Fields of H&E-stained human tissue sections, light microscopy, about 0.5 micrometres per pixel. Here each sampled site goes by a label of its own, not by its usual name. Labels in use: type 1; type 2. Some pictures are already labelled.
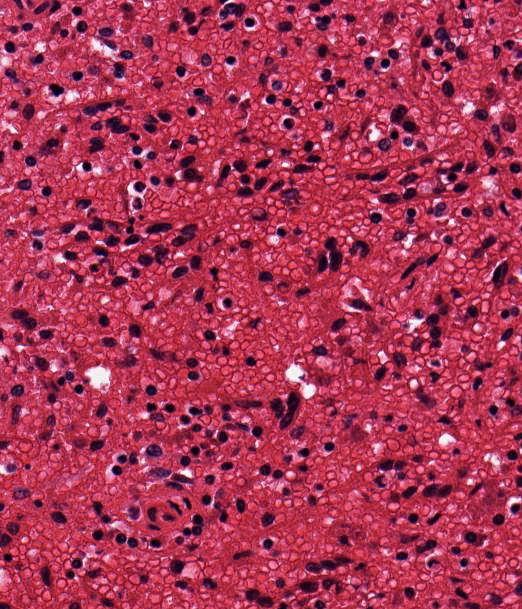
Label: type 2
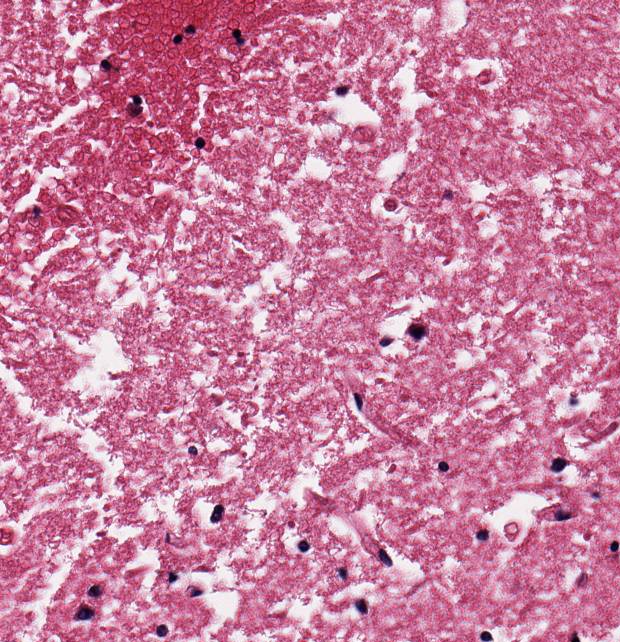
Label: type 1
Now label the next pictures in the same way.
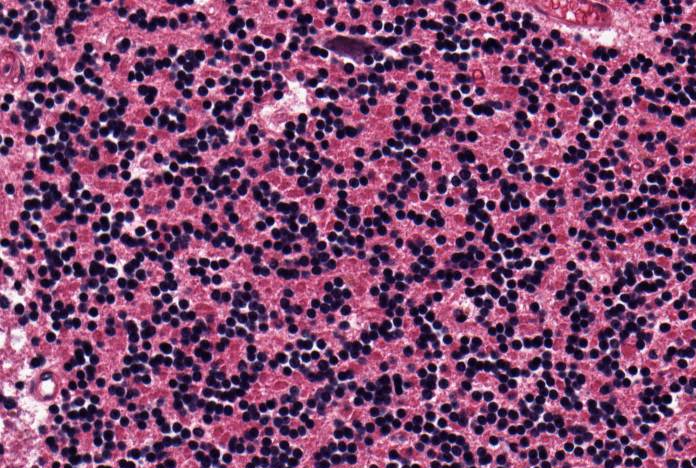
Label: type 1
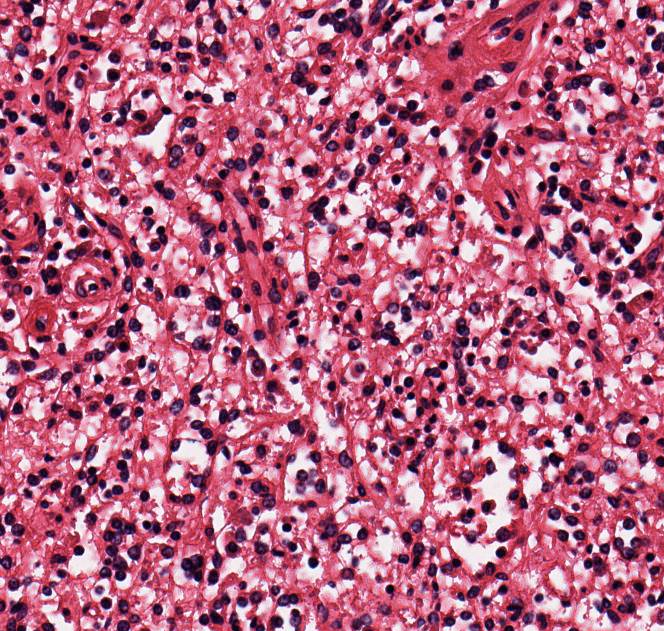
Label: type 2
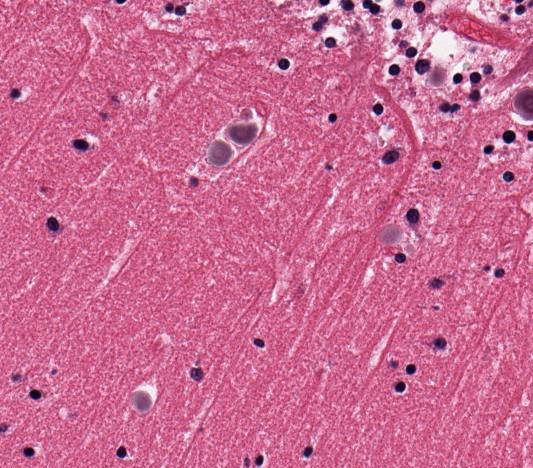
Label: type 1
